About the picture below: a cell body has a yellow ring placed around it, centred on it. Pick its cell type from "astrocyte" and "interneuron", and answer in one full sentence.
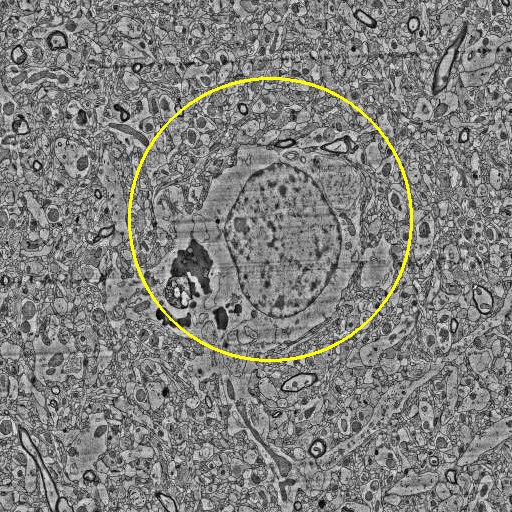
In the picture, an astrocyte is the cell sitting at the centre of the yellow ring.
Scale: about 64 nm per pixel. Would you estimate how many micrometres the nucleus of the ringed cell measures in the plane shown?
Roughly 10 by 7 micrometres is the size of the nucleus in this plane.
